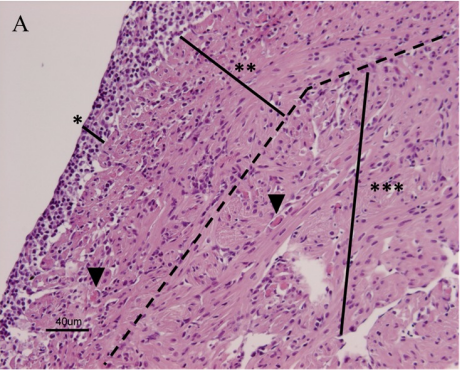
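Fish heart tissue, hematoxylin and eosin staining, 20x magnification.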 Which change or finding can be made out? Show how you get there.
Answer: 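The surface layer is thickened by a dense band of small dark round nuclei. Dark nuclei also extend into the underlying muscle.
Conclusion: epicarditis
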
